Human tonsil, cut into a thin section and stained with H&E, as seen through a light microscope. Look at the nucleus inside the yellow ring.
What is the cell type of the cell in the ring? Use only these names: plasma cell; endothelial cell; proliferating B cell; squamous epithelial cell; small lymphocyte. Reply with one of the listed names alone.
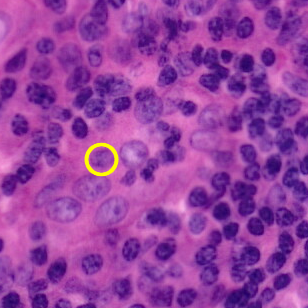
endothelial cell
